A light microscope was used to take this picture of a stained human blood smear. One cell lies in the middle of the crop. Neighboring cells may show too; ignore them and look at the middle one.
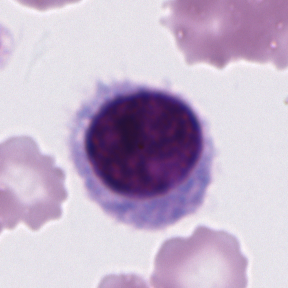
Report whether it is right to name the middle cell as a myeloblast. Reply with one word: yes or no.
no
